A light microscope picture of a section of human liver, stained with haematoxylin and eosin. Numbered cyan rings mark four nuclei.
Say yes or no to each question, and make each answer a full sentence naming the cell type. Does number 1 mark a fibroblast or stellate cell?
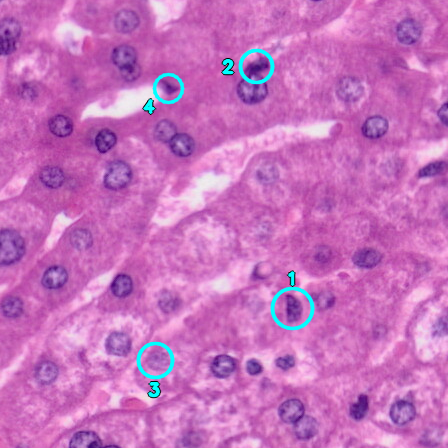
Yes, the cell that is numbered 1 is a fibroblast or stellate cell.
